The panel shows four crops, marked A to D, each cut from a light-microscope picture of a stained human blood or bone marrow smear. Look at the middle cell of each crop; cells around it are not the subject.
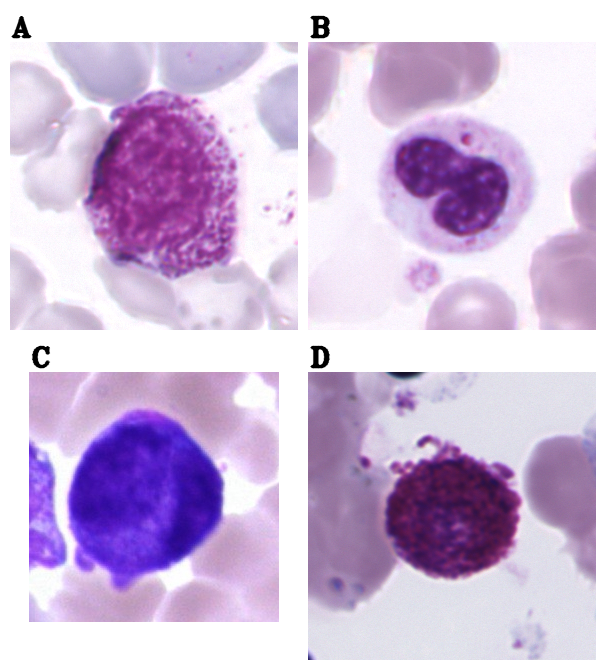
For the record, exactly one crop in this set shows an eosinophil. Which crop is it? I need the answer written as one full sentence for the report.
As for which crop shows an eosinophil, it is crop D.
